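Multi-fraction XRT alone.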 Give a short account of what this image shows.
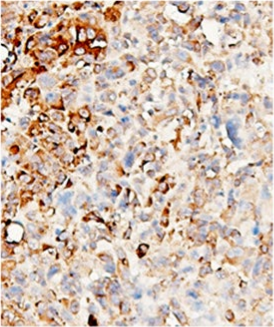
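This is a section of tumor tissue with sheets of rounded to polygonal cells carrying blue nuclei and a few clear spaces scattered among them. Elsewhere the cells are only faintly tinged, so their blue nuclei stand out.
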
